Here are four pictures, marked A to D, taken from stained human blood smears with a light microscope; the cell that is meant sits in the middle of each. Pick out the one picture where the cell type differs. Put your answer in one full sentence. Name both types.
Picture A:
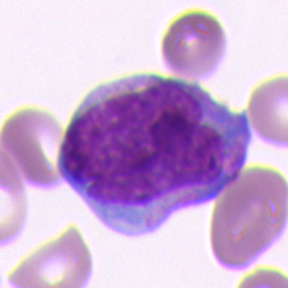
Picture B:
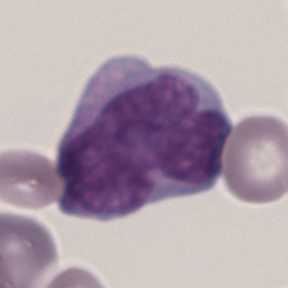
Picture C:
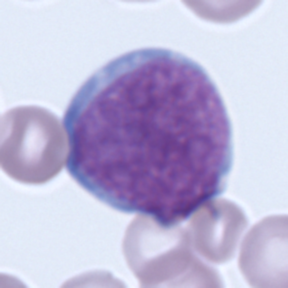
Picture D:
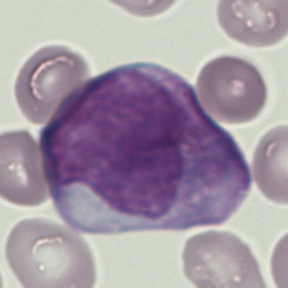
Picture C is the odd one out: it shows a myeloblast, while the others show atypical promyelocytes.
